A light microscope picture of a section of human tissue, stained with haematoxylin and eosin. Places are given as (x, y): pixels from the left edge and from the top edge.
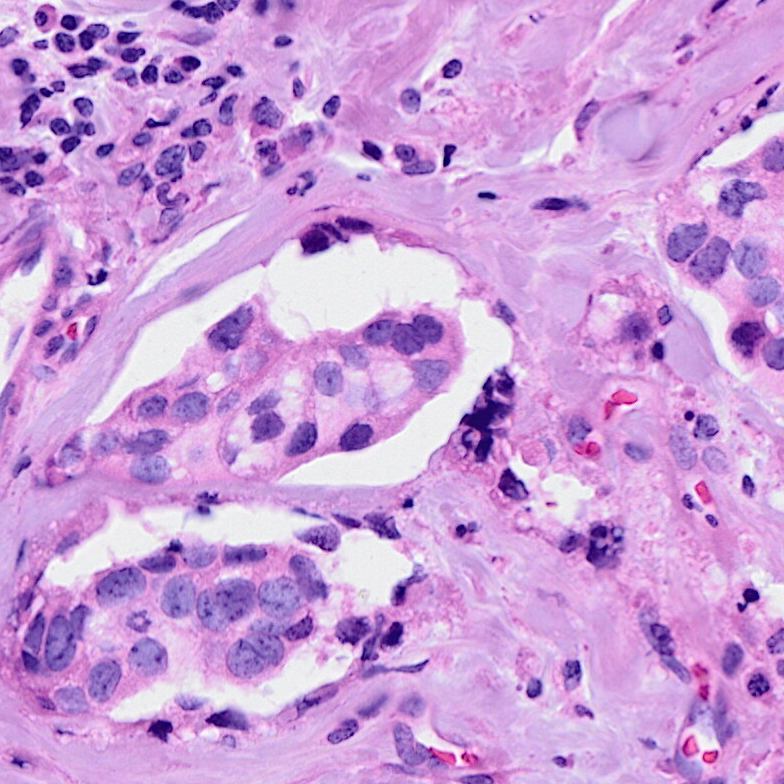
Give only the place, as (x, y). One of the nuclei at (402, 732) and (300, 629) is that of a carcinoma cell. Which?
(300, 629)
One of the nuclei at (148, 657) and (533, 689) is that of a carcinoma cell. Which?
(148, 657)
